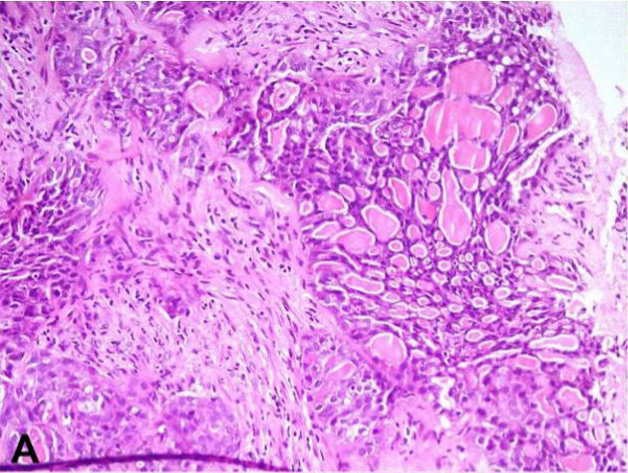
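Tumor tissue in which epithelial cells form small cystic spaces and follicle-like structures. Many of these spaces contain homogeneous pink secretion, some of it with scalloped clear edges where it meets the lining cells. The lining cells have small dark nuclei and pale to pink cytoplasm. To the left, bands of pink fibrous stroma with spindle-shaped nuclei separate nests of tumor cells.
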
